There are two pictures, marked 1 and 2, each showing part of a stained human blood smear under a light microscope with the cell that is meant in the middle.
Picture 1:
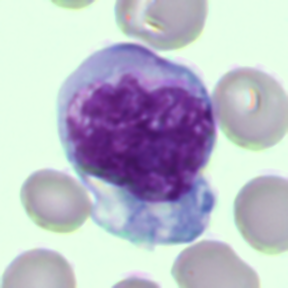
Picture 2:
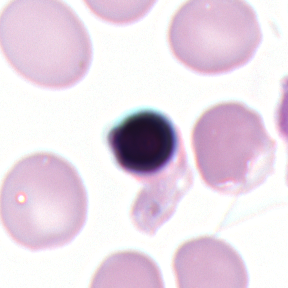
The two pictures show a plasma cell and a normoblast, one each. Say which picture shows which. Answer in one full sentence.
Picture 1 is of a plasma cell, and picture 2 is of a normoblast.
